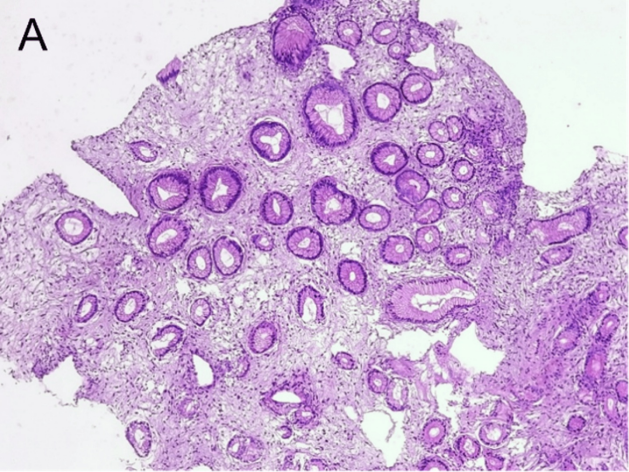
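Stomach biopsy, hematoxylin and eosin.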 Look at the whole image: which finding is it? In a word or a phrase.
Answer: Edema.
